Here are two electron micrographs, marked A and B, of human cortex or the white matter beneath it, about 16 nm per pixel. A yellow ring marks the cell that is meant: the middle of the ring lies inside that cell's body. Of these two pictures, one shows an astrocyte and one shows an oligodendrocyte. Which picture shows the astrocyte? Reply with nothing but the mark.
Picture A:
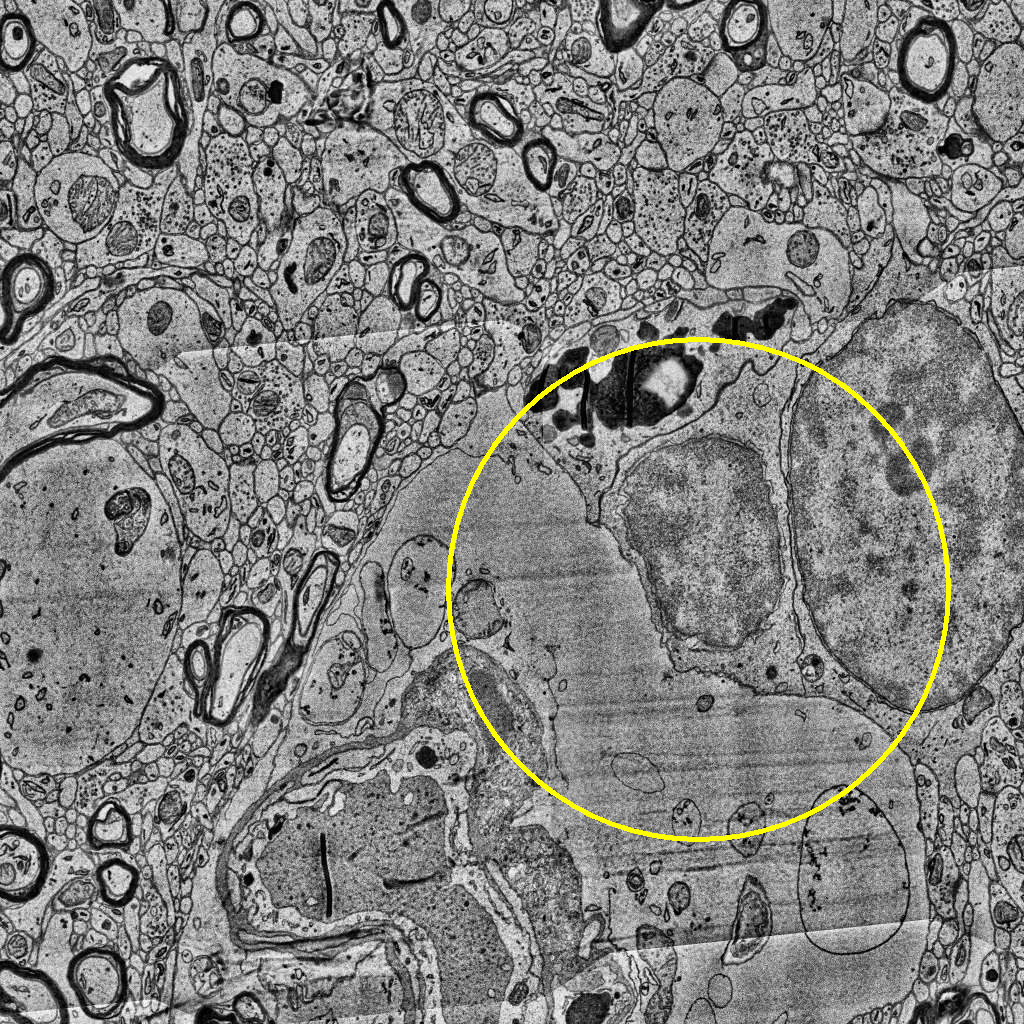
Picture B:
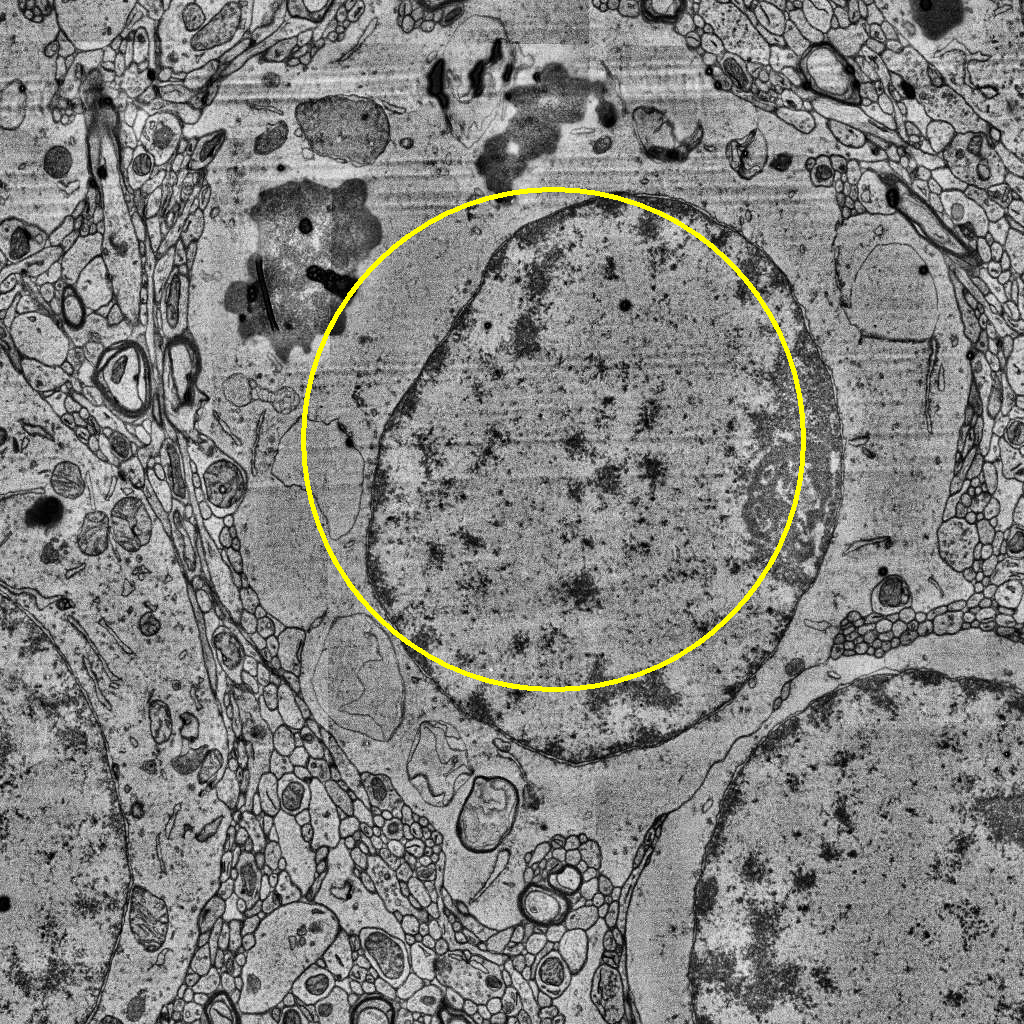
B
